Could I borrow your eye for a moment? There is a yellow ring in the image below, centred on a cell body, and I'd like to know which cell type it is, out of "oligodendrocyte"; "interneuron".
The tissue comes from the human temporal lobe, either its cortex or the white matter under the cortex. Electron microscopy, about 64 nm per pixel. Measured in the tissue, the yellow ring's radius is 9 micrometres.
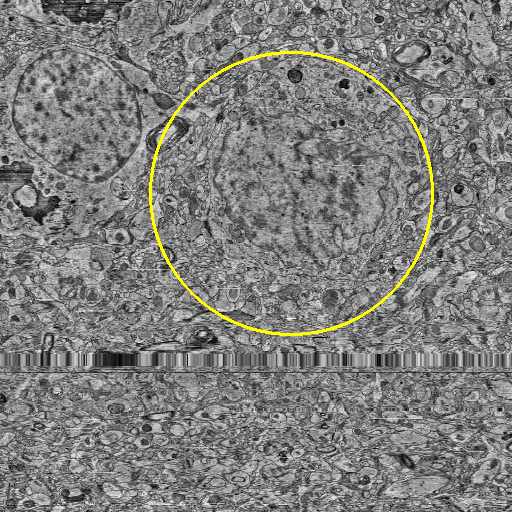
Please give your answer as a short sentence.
The cell body at the centre is that of an interneuron.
